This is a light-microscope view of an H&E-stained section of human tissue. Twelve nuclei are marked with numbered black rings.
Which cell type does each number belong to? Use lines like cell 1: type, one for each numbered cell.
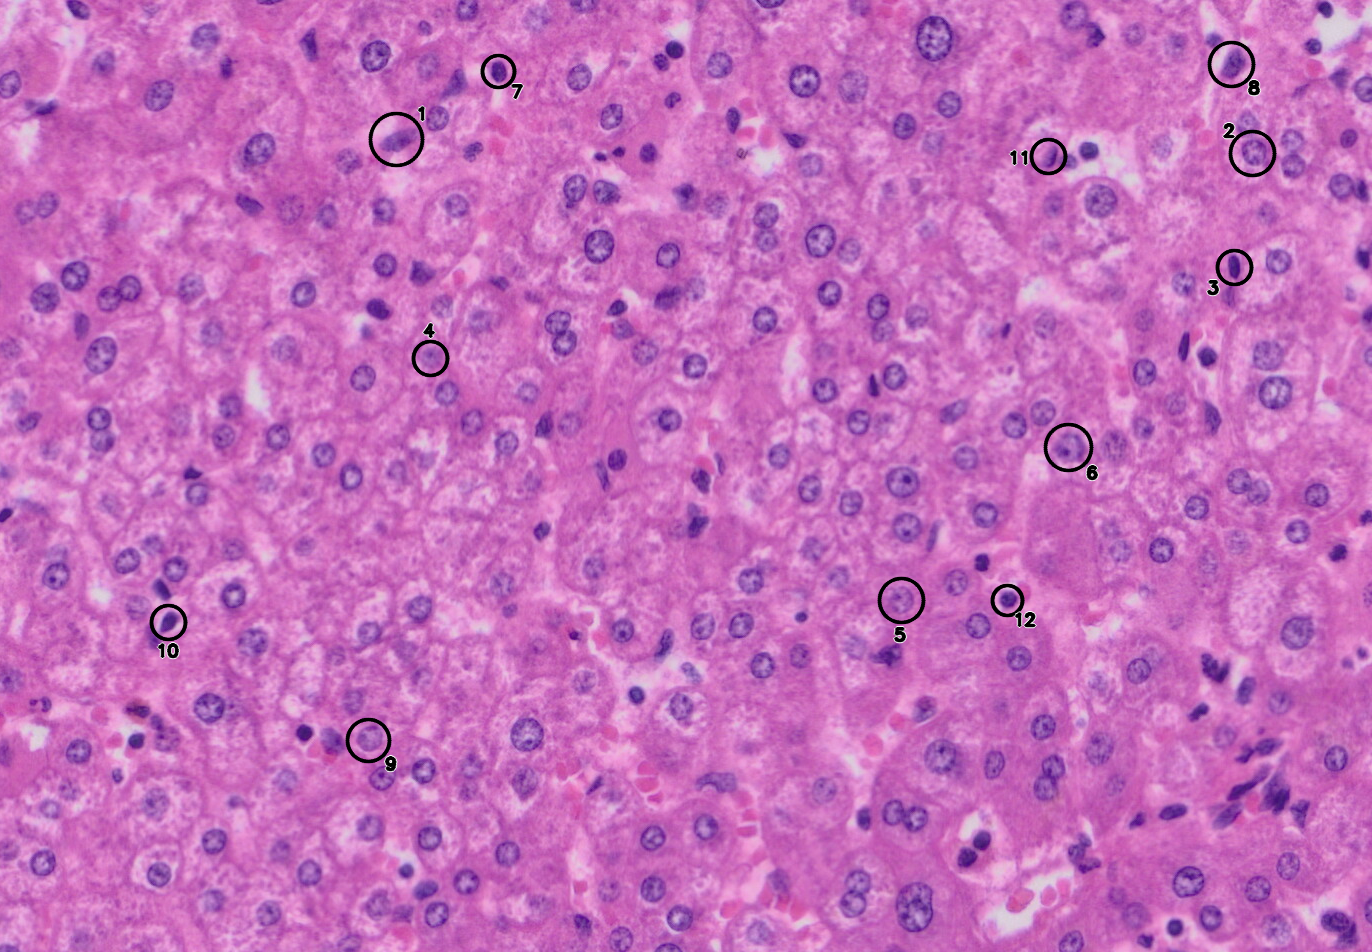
cell 1: Kupffer cell
cell 2: hepatocyte
cell 3: fibroblast or stellate cell
cell 4: hepatocyte
cell 5: hepatocyte
cell 6: hepatocyte
cell 7: lymphocyte
cell 8: Kupffer cell
cell 9: hepatocyte
cell 10: lymphocyte
cell 11: fibroblast or stellate cell
cell 12: lymphocyte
